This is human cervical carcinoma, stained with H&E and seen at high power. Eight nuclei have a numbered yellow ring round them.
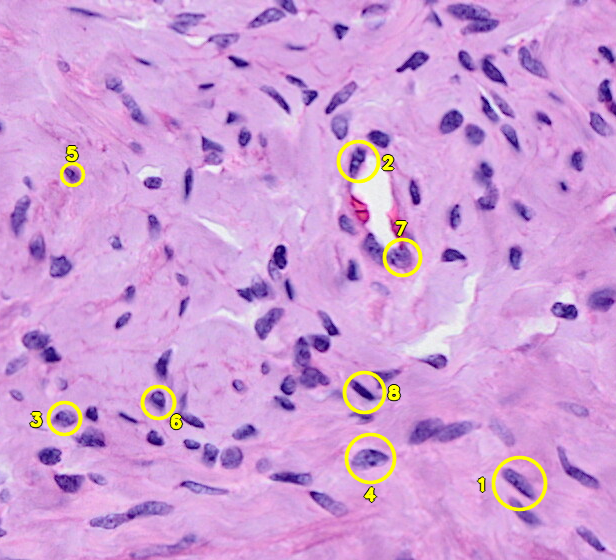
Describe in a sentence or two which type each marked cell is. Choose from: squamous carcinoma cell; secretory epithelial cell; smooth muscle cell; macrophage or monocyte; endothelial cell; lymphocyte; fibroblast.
Cells 1, 3, 4, 6 and 8 are fibroblasts. Cells 2 and 7 are endothelial cells. Cell 5 is a smooth muscle cell.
